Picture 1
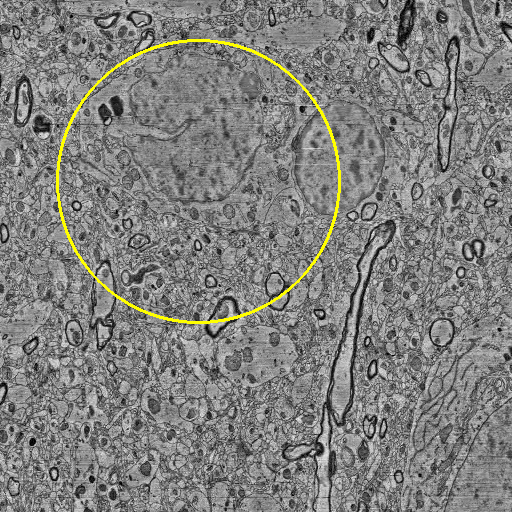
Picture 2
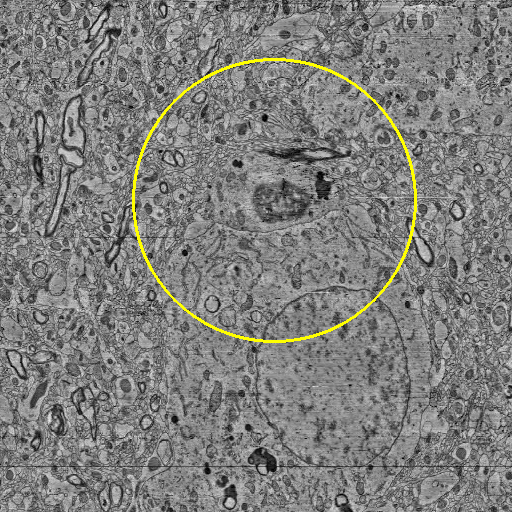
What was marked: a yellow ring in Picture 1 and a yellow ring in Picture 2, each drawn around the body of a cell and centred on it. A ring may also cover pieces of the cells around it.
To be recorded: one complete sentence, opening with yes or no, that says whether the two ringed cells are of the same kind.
No, the two ringed cells are of two kinds.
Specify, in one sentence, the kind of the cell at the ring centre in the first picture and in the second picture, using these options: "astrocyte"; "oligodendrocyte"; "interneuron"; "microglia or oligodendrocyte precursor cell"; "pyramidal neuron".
So the first is an interneuron, the second an oligodendrocyte.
